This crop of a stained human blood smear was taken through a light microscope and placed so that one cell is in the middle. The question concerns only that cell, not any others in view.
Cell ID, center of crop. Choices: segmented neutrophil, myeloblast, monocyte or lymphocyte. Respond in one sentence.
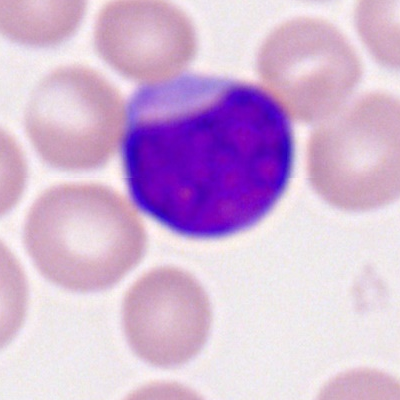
In the center of this field lies a myeloblast.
